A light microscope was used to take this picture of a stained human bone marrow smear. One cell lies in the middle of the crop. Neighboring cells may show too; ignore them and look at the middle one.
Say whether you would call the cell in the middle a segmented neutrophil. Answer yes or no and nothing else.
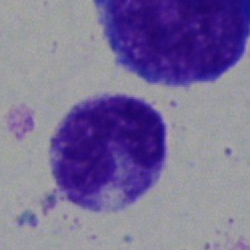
no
